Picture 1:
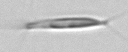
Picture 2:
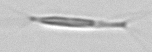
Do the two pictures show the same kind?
Yes, both are Calciosolenia.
